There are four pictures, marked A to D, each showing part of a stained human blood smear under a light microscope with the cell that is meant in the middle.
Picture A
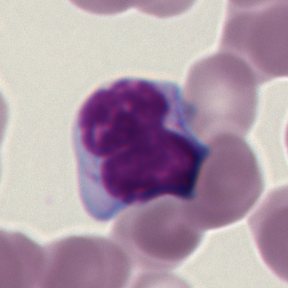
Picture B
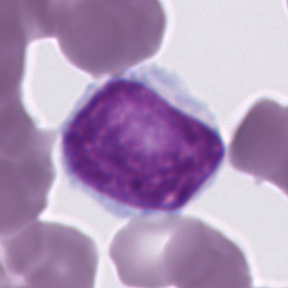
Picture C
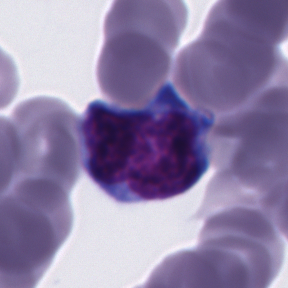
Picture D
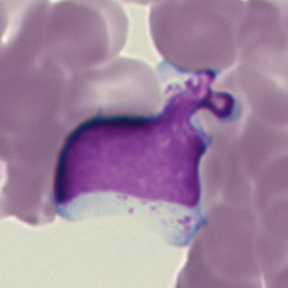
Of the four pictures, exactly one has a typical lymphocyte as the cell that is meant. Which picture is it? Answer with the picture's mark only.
C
